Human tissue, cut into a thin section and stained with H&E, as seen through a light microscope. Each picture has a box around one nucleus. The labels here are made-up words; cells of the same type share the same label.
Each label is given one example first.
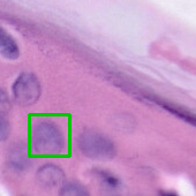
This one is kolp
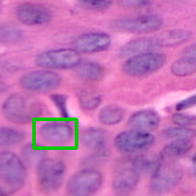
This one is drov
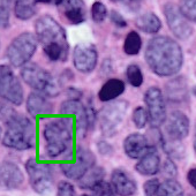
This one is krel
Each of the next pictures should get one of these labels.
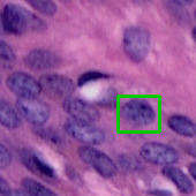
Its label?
drov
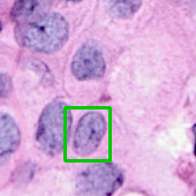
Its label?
krel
